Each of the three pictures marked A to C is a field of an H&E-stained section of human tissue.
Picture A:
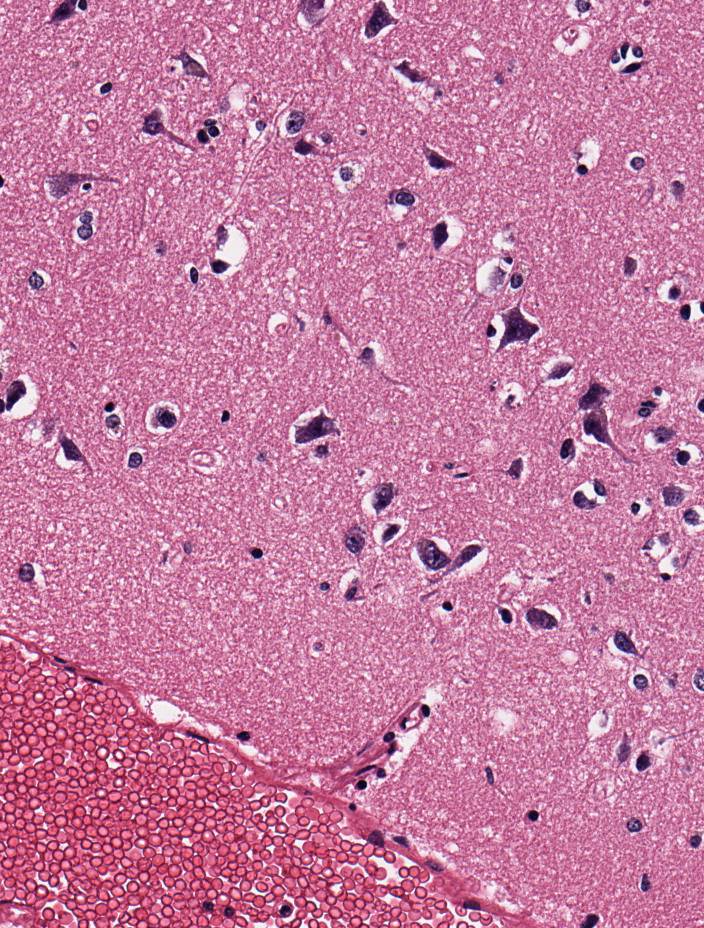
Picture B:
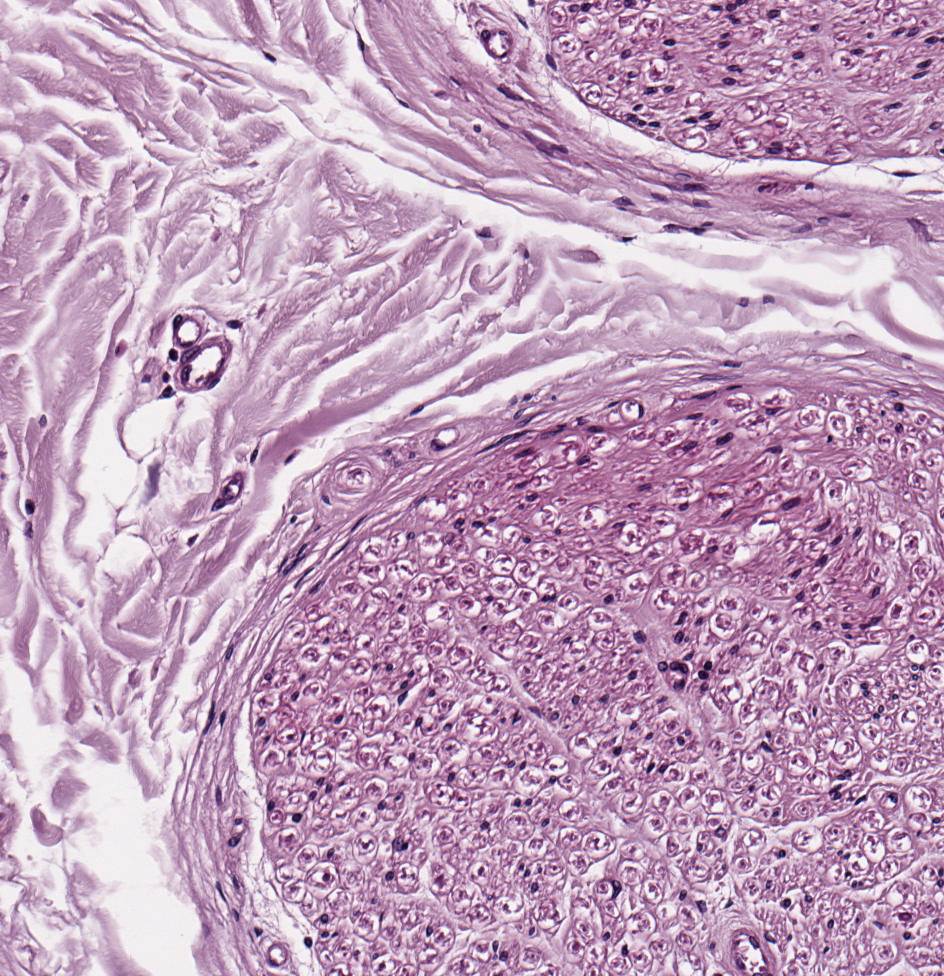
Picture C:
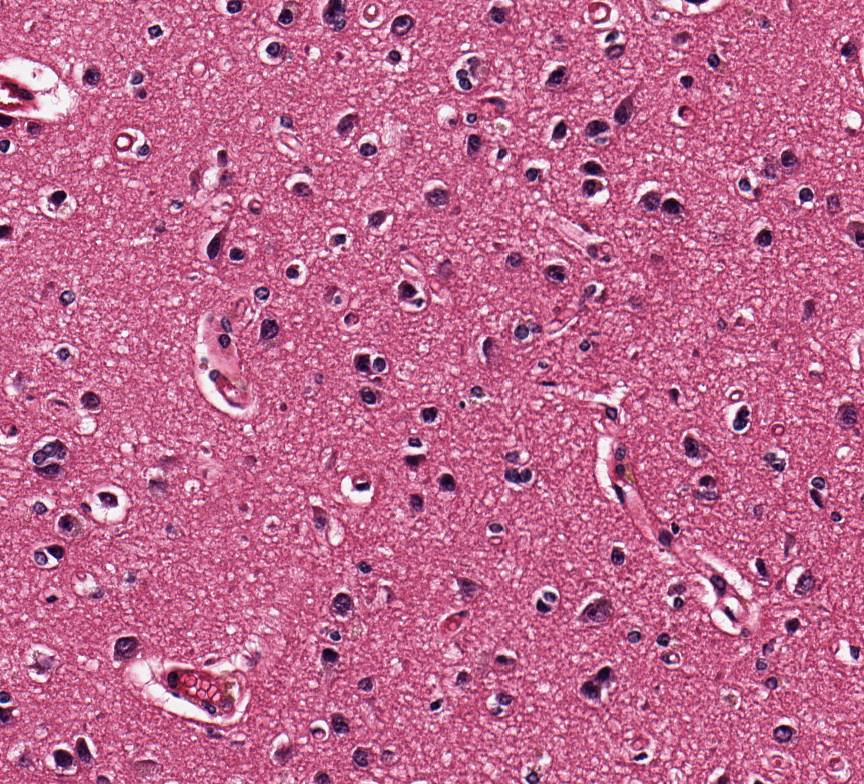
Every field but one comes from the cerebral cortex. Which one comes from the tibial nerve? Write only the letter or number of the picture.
B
